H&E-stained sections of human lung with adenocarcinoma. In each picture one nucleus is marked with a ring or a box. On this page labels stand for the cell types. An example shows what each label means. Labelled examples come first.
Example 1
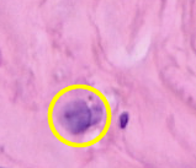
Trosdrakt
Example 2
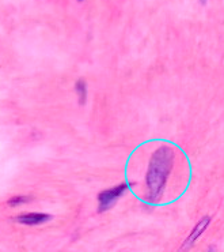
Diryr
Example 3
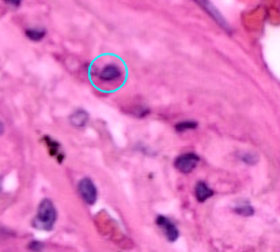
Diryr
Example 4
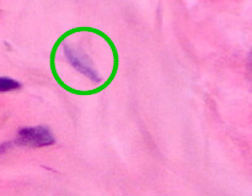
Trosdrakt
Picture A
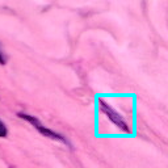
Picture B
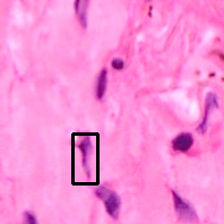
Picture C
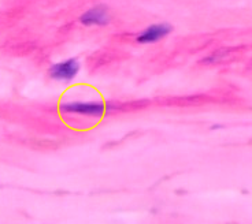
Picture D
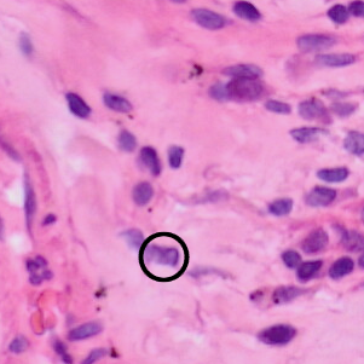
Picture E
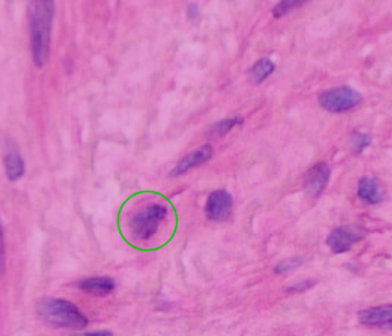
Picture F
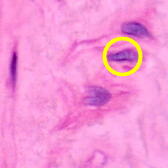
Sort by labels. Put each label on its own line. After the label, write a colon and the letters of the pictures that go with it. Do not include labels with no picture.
Trosdrakt: A, B, D
Diryr: C, E, F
